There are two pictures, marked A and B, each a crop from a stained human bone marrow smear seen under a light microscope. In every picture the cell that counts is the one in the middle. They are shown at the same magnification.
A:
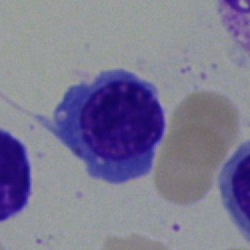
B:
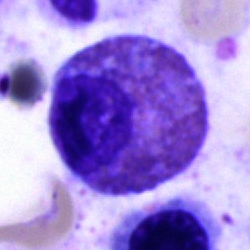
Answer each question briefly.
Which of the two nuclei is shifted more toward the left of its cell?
B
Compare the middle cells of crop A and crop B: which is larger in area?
B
